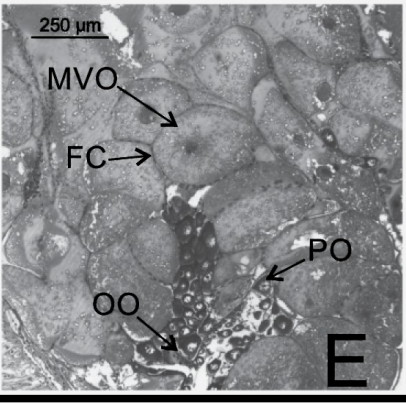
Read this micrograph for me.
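Follicular cells form a thin layer at the oocyte margins. In narrow spaces between the large oocytes lie small nests of darkly stained oogonia and primary oocytes. Clefts and empty spaces separate some of the large oocytes.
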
